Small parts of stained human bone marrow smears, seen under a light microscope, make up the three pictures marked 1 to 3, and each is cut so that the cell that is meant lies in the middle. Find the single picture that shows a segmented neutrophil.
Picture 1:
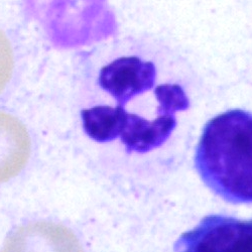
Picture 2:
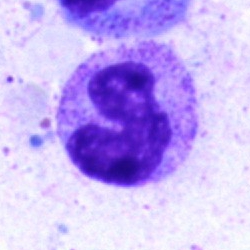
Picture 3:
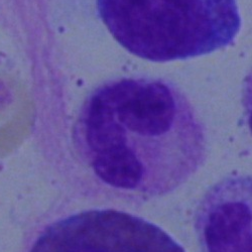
1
